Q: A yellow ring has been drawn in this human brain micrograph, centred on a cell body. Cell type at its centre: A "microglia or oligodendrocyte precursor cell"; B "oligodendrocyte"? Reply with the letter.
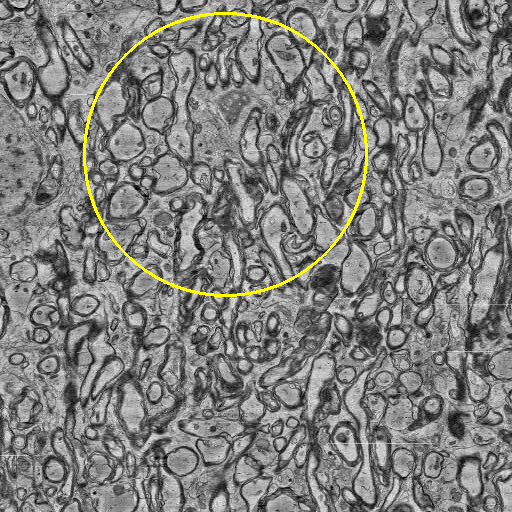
B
